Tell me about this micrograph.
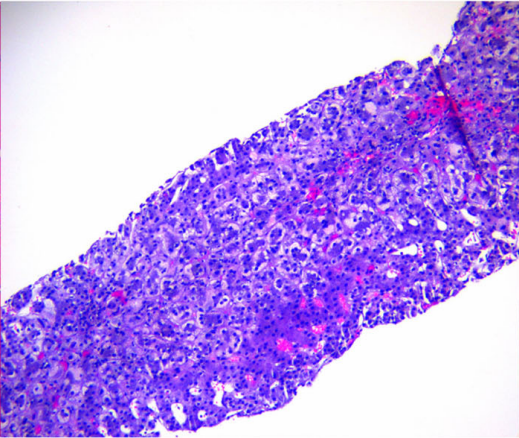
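Liver tissue in which many hepatocytes are swollen, with pale, rarefied, wispy cytoplasm around their nuclei. The swollen cells lie in irregular sheets rather than in neat plates, with scattered small dark nuclei of other cells between them. Small pink foci and a few small open spaces are scattered through the core.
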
